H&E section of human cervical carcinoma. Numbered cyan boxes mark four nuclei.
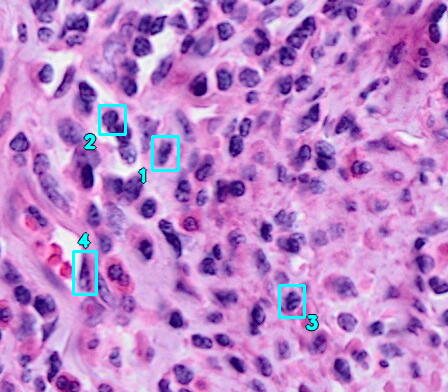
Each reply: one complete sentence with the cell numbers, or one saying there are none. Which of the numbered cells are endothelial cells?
Only cell 4 qualifies as an endothelial cell among the numbered cells.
